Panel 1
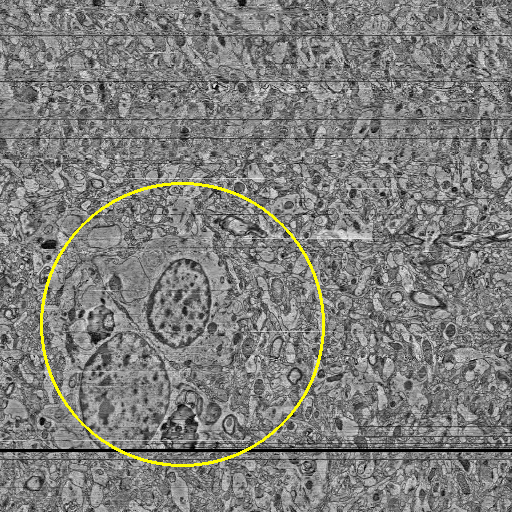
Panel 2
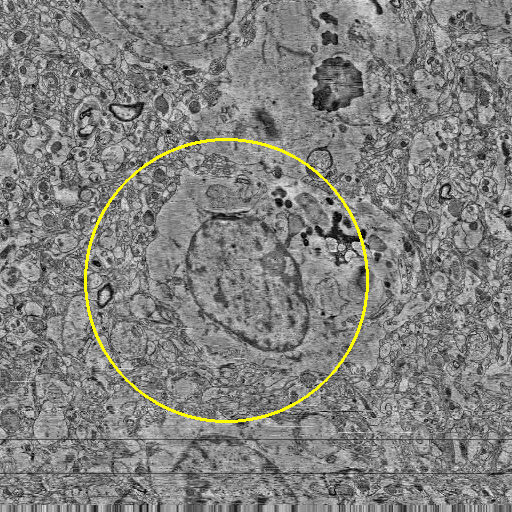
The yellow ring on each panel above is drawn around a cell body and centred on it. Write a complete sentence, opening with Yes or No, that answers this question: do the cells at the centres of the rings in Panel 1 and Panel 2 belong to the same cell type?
Yes, both cells belong to the same cell type.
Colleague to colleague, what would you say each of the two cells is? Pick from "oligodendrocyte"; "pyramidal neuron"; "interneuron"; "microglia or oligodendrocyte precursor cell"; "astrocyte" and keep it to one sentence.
Each of the two cells is an astrocyte.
